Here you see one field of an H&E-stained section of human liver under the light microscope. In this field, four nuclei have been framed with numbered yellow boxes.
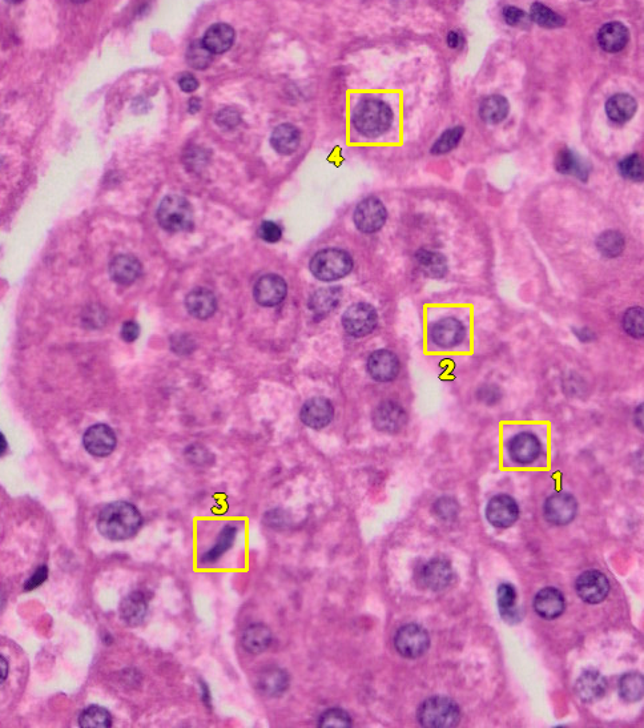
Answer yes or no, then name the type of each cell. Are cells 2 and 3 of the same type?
No, cell 2 is a hepatocyte and cell 3 is a Kupffer cell.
